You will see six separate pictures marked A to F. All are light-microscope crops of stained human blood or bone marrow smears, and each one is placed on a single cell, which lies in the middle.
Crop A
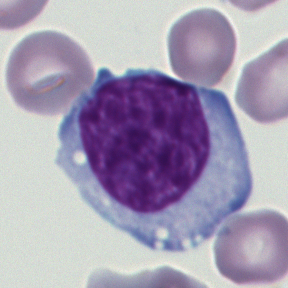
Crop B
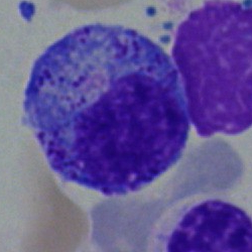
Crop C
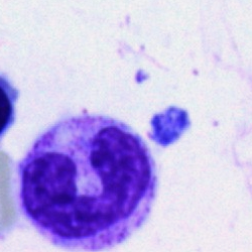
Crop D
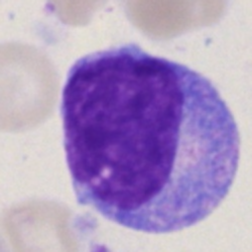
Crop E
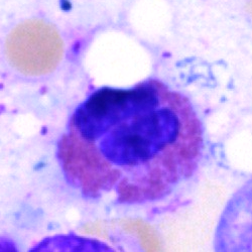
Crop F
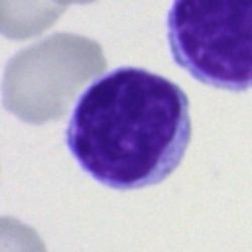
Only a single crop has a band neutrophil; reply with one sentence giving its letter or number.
Crop C is the single crop that shows a band neutrophil.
